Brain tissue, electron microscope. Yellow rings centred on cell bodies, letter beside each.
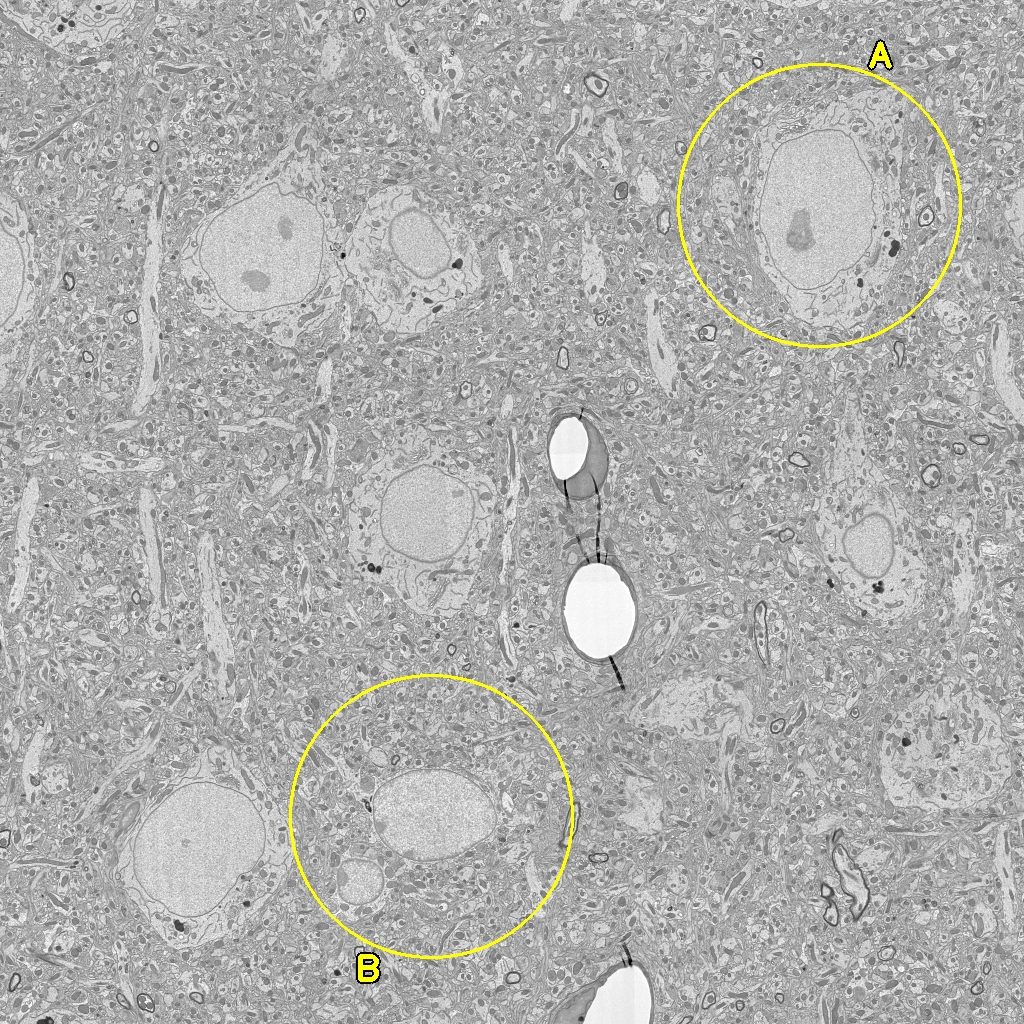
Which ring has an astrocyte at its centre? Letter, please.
B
